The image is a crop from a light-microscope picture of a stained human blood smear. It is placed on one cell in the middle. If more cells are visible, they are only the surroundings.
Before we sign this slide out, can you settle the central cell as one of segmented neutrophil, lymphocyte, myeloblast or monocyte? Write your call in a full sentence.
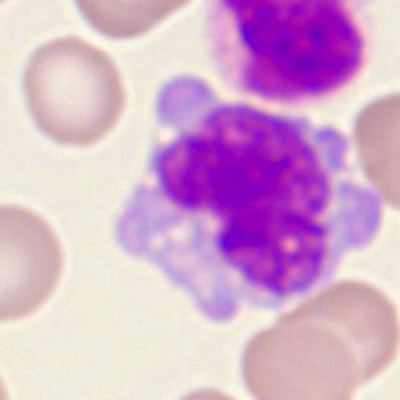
In short, the cell at the center is a monocyte.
